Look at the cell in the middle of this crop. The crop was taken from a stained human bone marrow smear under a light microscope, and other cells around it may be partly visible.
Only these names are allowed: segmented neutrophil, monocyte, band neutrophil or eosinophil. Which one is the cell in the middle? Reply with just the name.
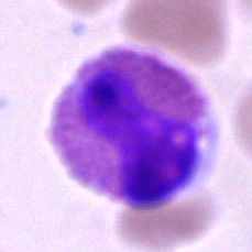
eosinophil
